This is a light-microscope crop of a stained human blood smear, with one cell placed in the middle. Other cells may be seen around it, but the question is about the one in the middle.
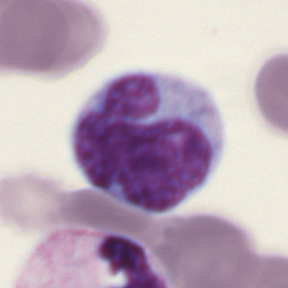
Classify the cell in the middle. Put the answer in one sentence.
For this crop, the central cell is a monocyte.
